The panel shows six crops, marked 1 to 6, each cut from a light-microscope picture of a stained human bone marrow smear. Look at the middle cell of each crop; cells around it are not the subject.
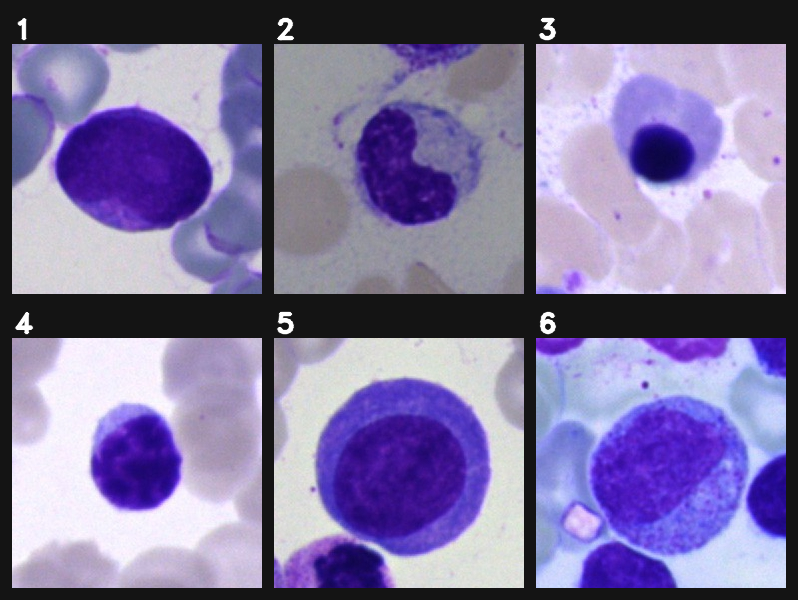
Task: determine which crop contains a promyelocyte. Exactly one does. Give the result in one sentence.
So the crop with a promyelocyte at its center is crop 6.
